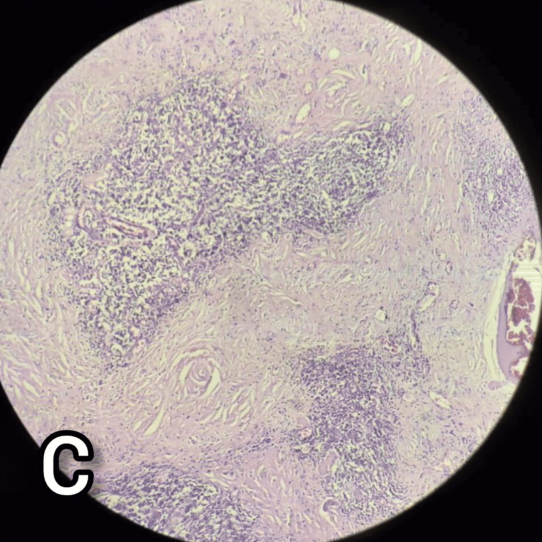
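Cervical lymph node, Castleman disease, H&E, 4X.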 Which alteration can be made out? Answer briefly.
Extensive areas of hyalinization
